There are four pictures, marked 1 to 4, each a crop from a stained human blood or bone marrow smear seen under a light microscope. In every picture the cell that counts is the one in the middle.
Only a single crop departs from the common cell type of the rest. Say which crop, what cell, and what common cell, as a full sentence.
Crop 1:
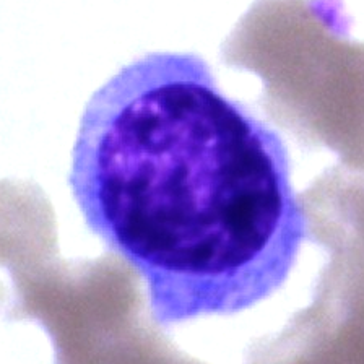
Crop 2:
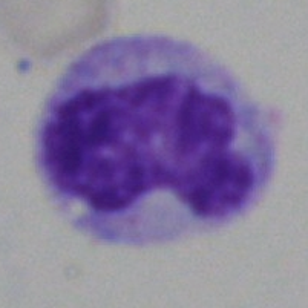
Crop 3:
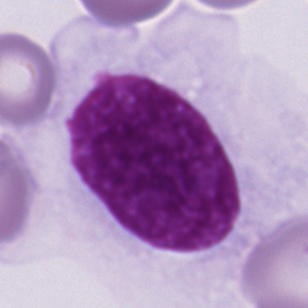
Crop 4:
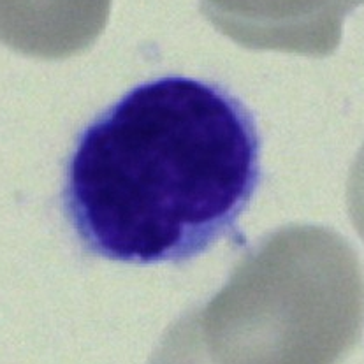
Here the outlier is crop 2, which is a monocyte, and the rest are hairy cells.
